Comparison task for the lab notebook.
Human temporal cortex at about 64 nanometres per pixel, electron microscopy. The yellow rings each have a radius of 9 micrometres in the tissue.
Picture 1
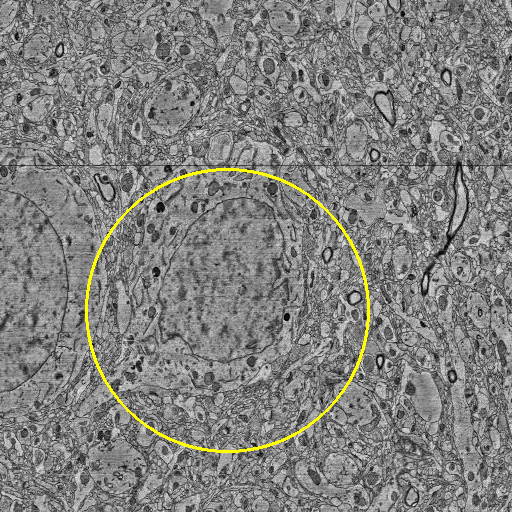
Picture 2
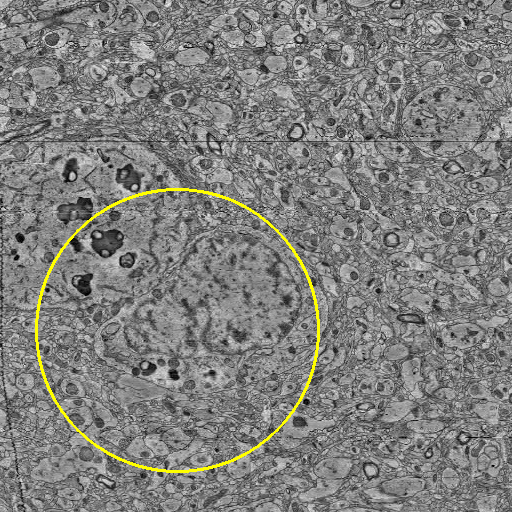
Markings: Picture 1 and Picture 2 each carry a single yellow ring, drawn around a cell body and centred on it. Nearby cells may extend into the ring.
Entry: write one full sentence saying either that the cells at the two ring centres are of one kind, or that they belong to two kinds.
The cells sitting at the ring centres in Picture 1 and Picture 2 are of one kind.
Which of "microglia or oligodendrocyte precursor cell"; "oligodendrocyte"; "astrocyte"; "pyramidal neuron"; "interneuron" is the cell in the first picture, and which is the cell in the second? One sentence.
In each picture the ringed cell is an interneuron.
